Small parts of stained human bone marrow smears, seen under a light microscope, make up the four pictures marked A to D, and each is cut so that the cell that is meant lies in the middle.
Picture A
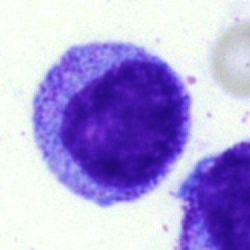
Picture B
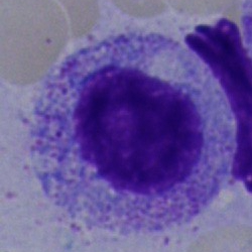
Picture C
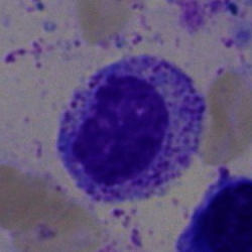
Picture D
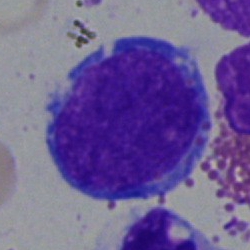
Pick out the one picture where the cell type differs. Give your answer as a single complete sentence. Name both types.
The different one is picture D; it shows a blast, whereas all the others show myelocytes.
